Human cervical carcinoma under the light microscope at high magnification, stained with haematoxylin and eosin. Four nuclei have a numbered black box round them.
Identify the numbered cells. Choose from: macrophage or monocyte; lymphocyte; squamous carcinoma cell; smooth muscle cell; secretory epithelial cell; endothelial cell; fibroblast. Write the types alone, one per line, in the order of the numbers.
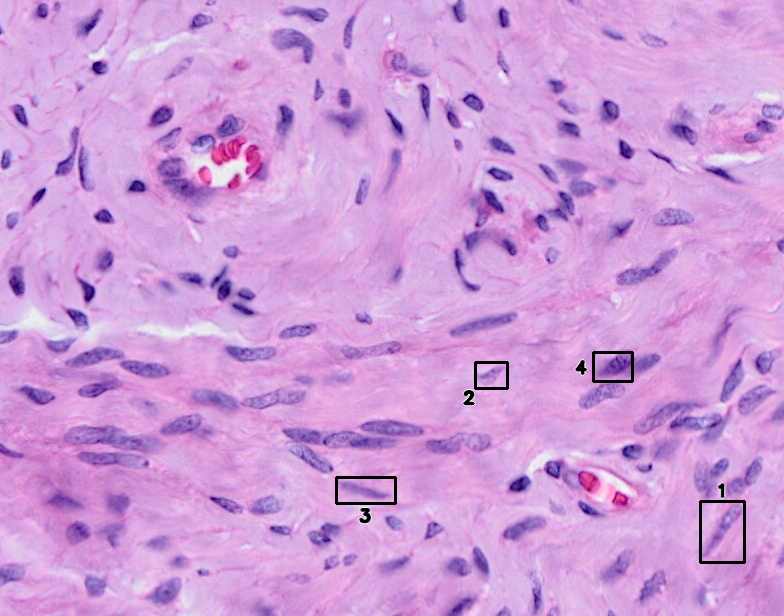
smooth muscle cell
fibroblast
fibroblast
fibroblast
